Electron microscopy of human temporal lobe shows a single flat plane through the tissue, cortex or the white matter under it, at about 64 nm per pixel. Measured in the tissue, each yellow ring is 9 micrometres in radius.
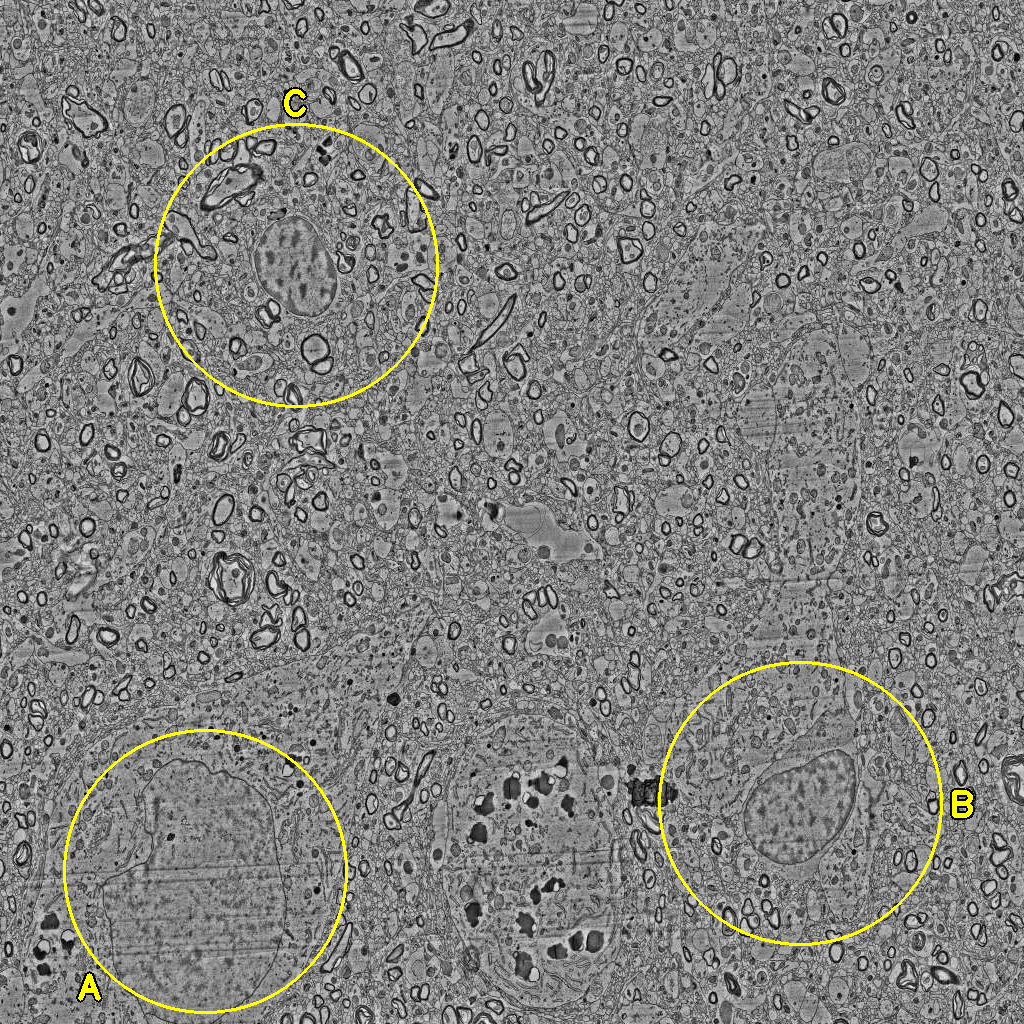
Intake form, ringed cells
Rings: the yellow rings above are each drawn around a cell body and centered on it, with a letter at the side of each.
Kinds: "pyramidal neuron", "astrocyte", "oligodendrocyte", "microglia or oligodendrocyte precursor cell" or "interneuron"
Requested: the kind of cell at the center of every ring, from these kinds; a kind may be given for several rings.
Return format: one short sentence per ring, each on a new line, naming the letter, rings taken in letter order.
In the center of ring A there is a pyramidal neuron.
In the center of ring B there is an oligodendrocyte.
In the center of ring C there is a microglial cell or oligodendrocyte precursor cell.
